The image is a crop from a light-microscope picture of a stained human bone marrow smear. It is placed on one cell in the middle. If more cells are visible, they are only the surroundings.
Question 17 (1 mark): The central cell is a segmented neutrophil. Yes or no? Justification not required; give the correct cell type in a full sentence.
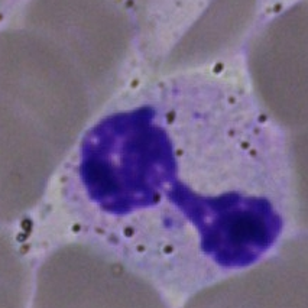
Yes, within this crop, the central cell is a segmented neutrophil.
